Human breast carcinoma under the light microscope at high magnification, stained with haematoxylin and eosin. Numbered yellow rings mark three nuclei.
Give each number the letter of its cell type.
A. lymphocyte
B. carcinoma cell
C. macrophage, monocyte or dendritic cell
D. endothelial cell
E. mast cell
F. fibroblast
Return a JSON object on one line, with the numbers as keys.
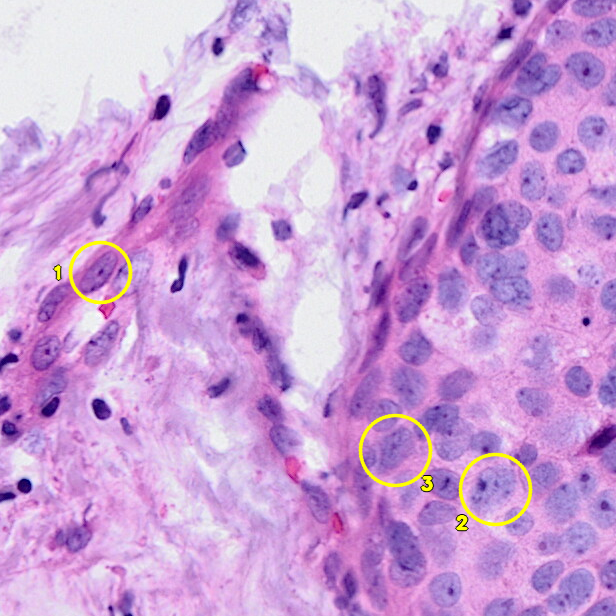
{"1": "D", "2": "B", "3": "B"}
